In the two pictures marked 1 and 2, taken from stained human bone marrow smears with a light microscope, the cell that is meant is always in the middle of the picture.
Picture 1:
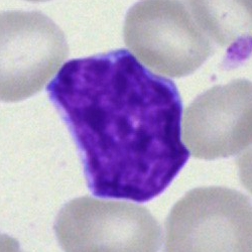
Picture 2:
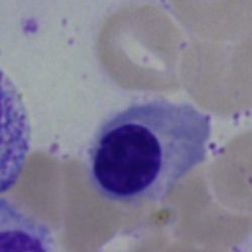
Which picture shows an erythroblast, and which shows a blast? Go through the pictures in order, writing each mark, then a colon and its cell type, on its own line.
1: blast
2: erythroblast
